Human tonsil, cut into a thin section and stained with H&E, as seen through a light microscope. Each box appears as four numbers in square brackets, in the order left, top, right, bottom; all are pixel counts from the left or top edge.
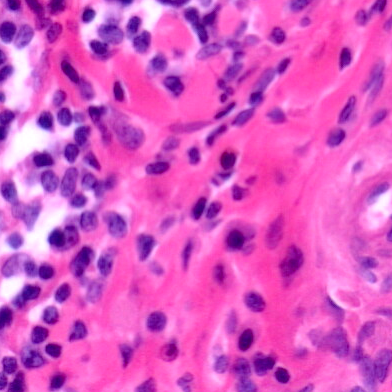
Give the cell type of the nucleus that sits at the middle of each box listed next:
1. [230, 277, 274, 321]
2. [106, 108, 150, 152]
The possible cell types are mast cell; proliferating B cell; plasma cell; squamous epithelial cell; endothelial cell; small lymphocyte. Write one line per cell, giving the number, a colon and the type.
1: mast cell
2: endothelial cell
